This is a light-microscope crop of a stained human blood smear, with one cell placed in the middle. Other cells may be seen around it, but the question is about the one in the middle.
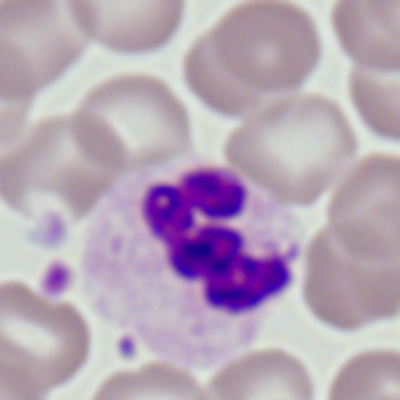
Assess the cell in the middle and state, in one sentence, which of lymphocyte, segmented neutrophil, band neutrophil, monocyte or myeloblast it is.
The cell of interest, in the center, is a segmented neutrophil.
